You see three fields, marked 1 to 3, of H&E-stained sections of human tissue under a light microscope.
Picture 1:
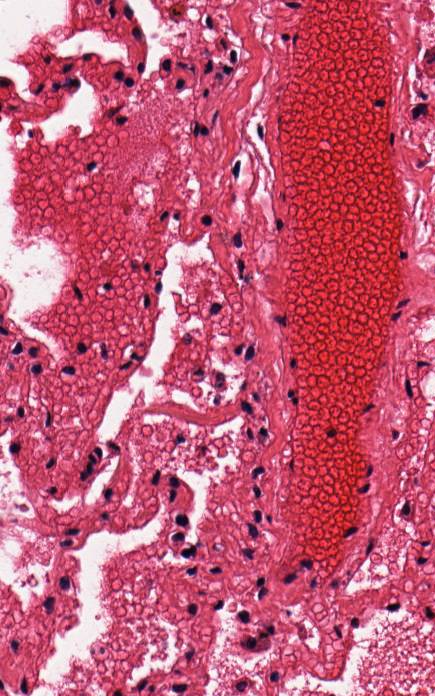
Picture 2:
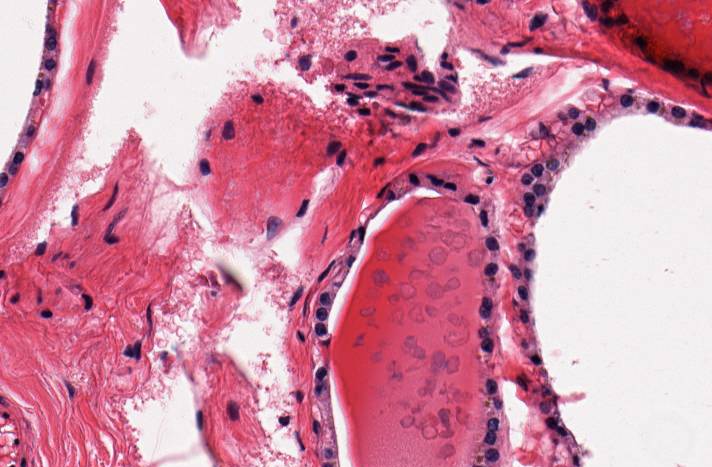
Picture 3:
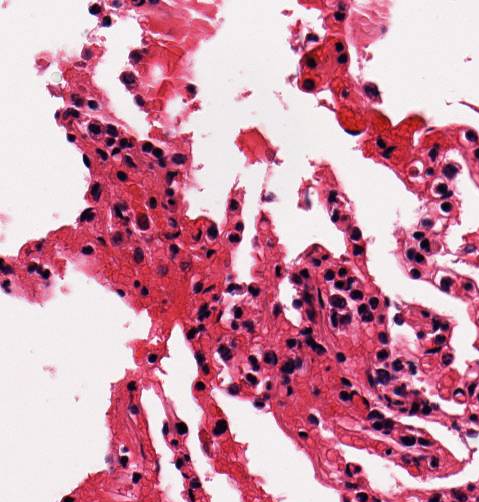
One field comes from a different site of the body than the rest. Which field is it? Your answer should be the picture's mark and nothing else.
2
